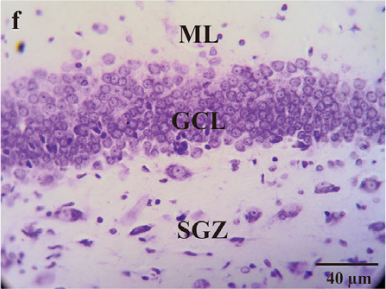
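This is the dentate gyrus of the hippocampus, with a thick band of densely packed granular cells stained violet, several cells deep. The granular cells are small and round, with rounded nuclei, and lie closely side by side; the pale layer above holds only scattered cells, while the zone below contains scattered larger cell bodies and elongated nuclei.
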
